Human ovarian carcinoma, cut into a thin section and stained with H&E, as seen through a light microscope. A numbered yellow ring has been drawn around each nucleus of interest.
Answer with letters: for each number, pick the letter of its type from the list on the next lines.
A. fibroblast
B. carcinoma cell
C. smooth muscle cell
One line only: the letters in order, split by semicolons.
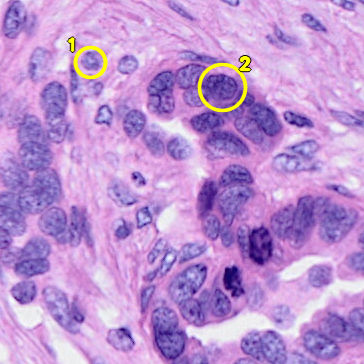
A; B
